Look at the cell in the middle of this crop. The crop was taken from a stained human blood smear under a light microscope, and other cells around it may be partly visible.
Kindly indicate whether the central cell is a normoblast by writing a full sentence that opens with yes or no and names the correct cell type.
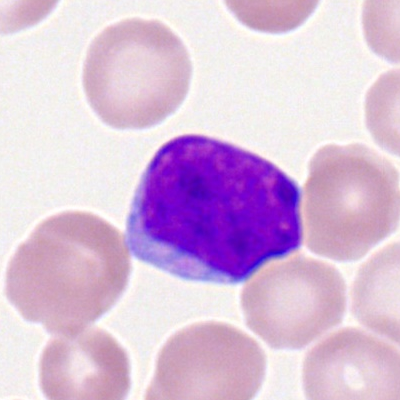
No, the cell at the centre is a myeloblast, which rules out a normoblast.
